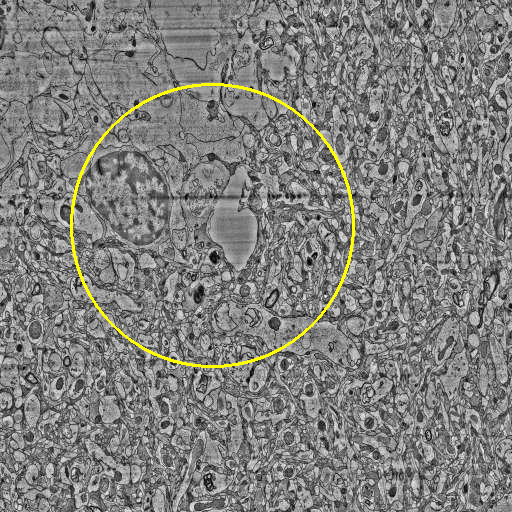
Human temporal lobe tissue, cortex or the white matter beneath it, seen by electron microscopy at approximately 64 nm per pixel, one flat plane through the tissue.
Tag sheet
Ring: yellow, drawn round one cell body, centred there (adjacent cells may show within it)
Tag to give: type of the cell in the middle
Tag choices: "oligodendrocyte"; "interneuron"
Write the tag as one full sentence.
I tag the cell centred in the yellow ring as an oligodendrocyte in this picture.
